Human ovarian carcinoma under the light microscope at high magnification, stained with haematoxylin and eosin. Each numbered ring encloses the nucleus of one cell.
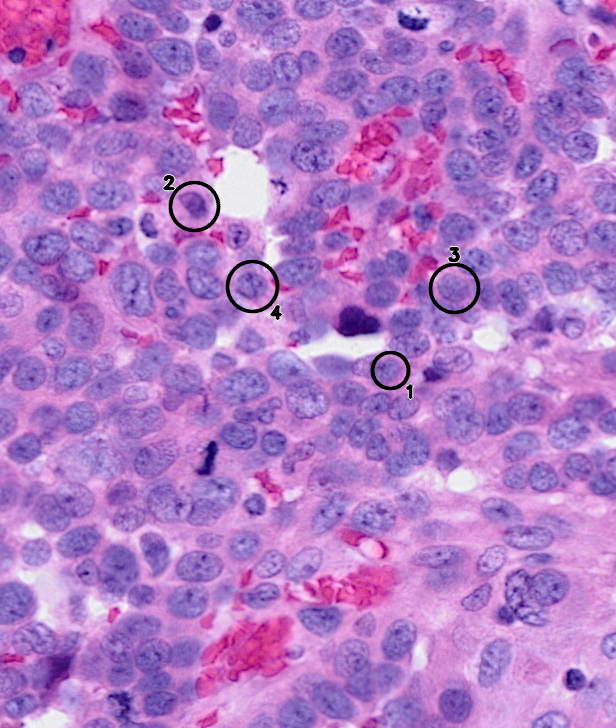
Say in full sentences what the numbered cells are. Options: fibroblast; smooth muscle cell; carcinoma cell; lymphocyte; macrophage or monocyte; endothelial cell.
Cells 1 and 3 are carcinoma cells. Cells 2 and 4 are macrophages or monocytes.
